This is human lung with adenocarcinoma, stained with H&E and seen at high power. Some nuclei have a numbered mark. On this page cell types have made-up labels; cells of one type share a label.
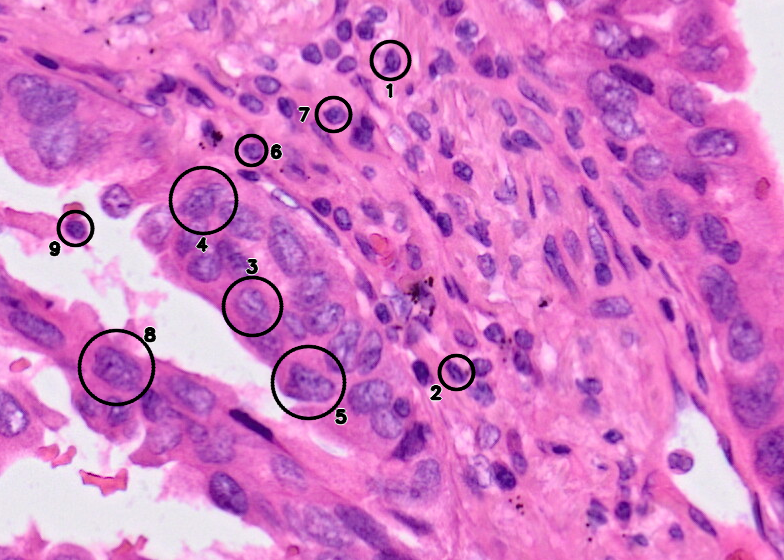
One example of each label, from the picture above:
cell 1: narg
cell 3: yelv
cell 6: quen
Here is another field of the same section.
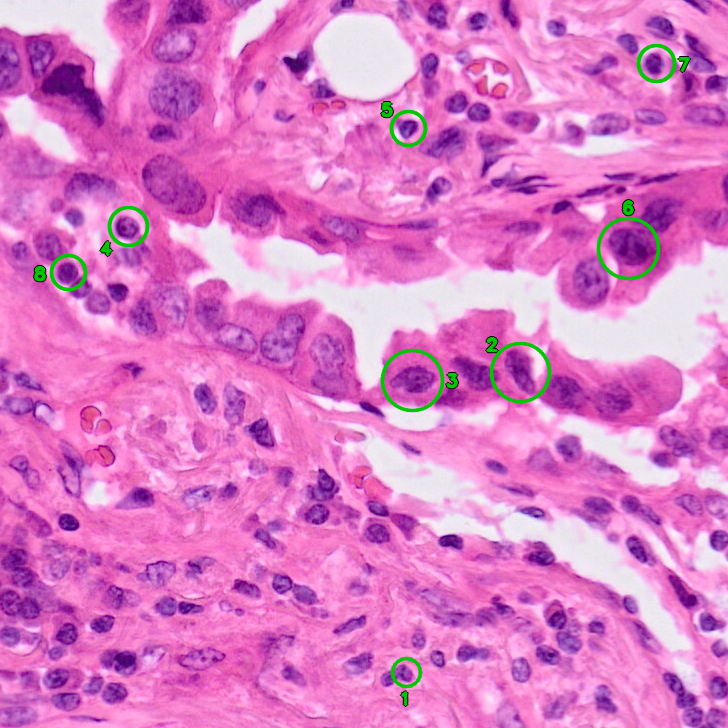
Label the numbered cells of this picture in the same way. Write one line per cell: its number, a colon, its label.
1: narg
2: yelv
3: yelv
4: narg
5: narg
6: yelv
7: quen
8: narg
